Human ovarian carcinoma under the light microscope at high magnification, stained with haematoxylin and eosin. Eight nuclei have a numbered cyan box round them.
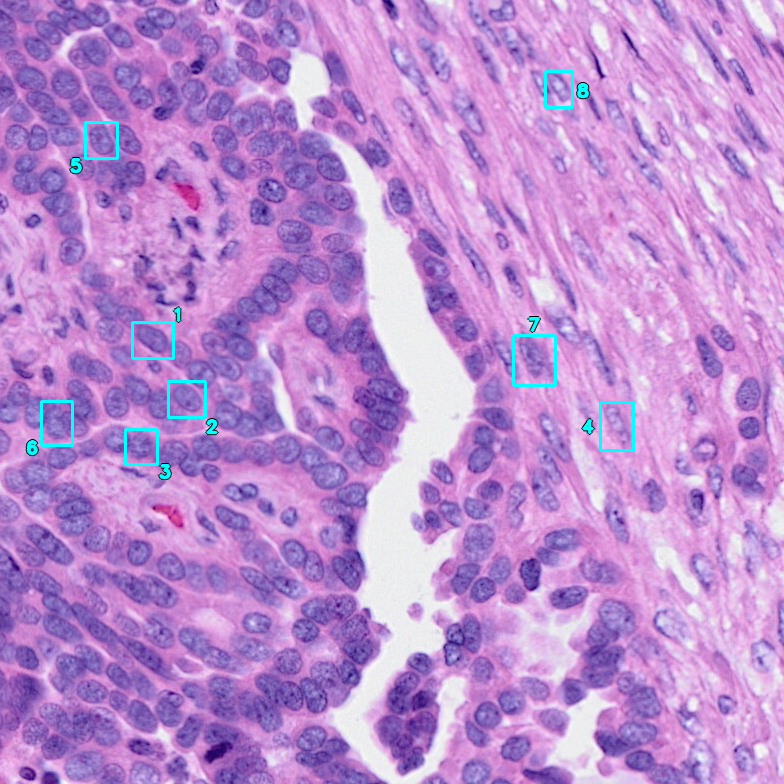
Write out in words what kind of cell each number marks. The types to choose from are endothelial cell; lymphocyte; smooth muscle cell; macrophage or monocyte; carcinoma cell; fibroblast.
Cell 1 is a carcinoma cell, cell 2 is a carcinoma cell, cell 3 is a carcinoma cell, cell 4 is a fibroblast, cell 5 is a carcinoma cell, cell 6 is a carcinoma cell, cell 7 is a fibroblast and cell 8 is a fibroblast.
